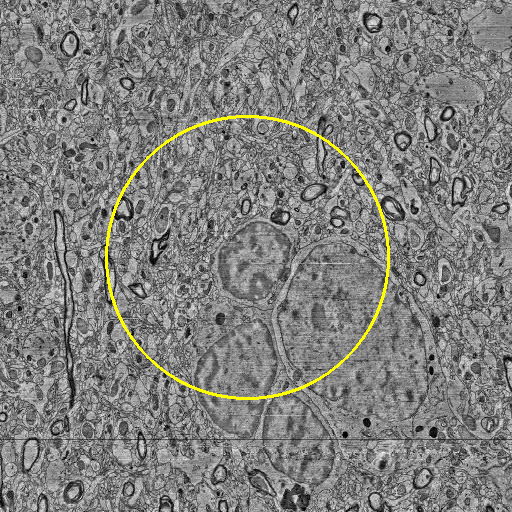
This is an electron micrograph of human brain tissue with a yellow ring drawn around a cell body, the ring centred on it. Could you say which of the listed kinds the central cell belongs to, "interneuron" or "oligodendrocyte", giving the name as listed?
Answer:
oligodendrocyte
